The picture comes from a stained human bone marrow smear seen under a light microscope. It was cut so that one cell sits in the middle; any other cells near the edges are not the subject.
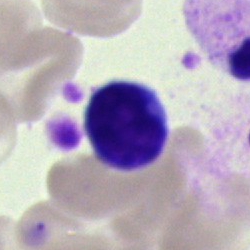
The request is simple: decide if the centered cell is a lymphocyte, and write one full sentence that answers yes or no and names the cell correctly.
Yes, the cell at the center of the crop is a lymphocyte.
